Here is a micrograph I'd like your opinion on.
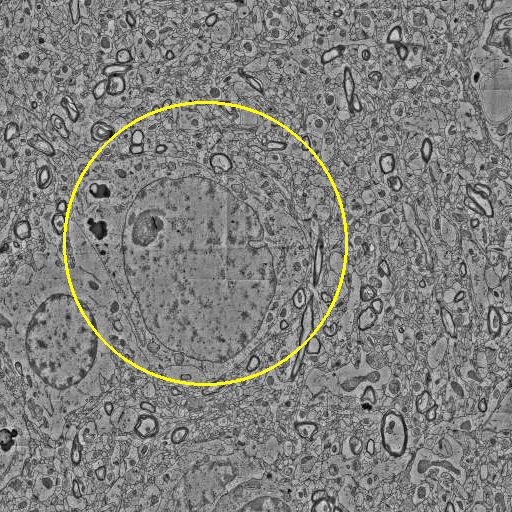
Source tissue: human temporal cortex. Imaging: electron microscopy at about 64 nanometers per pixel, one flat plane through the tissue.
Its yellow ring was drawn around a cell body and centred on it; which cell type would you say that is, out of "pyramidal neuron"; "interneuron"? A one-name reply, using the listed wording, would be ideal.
pyramidal neuron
